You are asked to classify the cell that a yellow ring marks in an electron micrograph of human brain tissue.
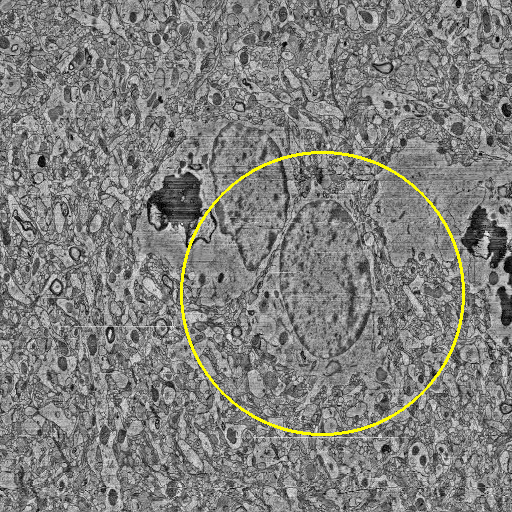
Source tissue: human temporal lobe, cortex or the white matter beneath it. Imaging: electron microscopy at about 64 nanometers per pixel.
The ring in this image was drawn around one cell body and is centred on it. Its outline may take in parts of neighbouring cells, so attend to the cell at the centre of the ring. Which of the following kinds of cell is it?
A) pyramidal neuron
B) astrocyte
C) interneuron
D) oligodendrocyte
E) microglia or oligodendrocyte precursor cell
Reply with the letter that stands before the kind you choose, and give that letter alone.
B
